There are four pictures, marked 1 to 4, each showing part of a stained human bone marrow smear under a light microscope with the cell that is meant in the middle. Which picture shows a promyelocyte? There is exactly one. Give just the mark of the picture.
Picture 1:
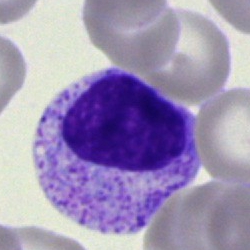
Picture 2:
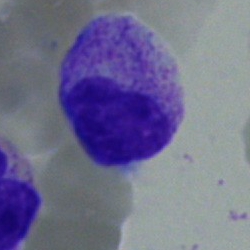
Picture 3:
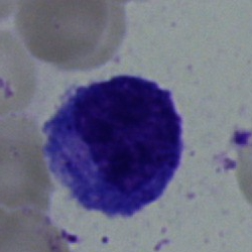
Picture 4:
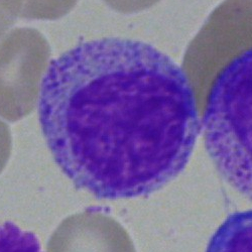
3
